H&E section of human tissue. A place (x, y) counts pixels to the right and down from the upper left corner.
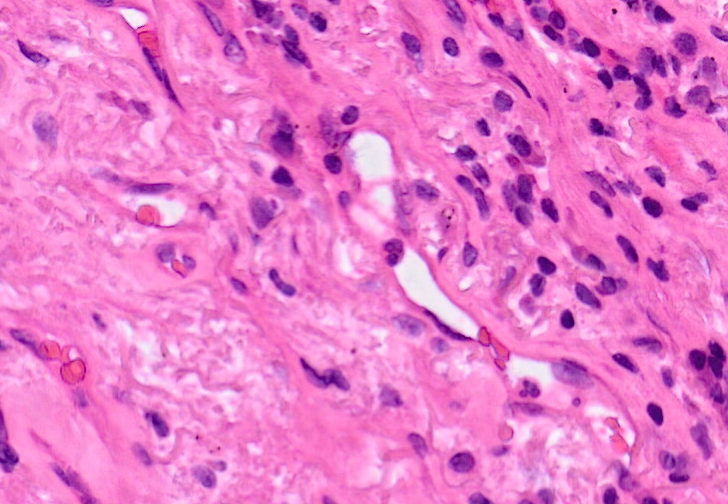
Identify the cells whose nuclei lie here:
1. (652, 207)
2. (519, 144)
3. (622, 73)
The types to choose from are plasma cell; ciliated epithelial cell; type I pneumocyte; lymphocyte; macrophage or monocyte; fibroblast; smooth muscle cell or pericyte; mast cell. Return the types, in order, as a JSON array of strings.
["lymphocyte", "plasma cell", "lymphocyte"]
